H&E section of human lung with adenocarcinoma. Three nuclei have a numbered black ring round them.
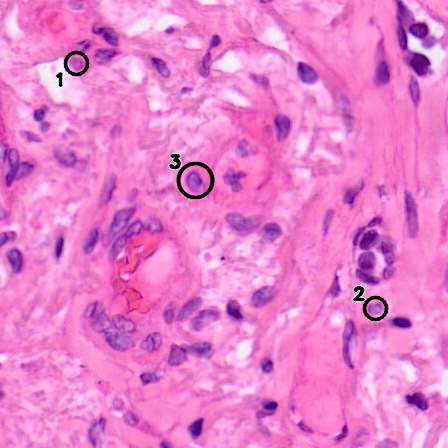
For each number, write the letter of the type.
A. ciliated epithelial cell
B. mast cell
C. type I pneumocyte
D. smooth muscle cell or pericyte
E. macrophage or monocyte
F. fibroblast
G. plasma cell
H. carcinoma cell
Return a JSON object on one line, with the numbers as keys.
{"1": "D", "2": "B", "3": "D"}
